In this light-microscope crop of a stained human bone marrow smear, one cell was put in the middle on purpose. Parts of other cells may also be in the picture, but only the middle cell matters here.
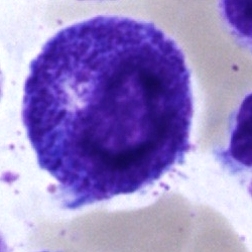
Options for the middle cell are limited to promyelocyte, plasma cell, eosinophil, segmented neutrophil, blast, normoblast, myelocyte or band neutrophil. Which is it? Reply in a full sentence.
The central cell, amid any neighbouring cells, is a promyelocyte.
